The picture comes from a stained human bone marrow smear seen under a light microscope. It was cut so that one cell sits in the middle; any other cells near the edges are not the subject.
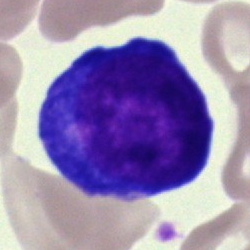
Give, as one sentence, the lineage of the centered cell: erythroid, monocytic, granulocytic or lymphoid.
The cell in the middle of the crop is sorted into the erythroid lineage.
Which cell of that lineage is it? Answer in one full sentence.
The cell in the middle of the field of view is a proerythroblast.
